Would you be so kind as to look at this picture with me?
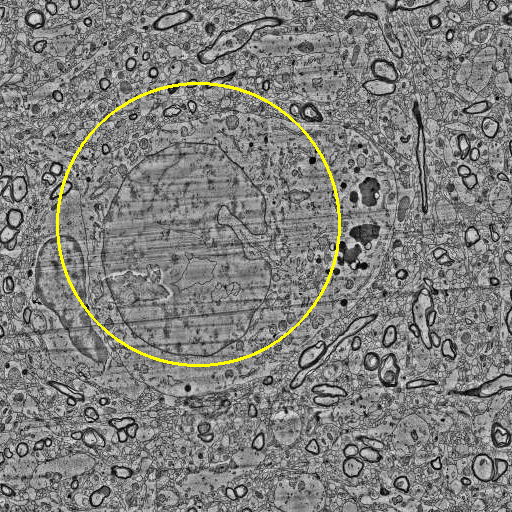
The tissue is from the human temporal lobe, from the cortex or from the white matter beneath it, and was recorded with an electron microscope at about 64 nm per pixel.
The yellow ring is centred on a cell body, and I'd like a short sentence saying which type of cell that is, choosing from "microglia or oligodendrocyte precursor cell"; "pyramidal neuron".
The cell body in the ring belongs to a pyramidal neuron.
